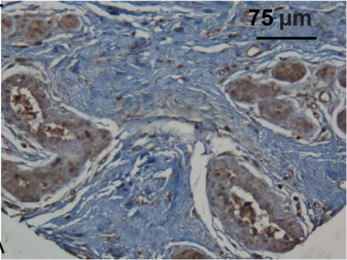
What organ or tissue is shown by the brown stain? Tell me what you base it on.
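Epithelial. Brown staining is concentrated in compact clusters of cells arranged around lumens. The brown-stained clusters form duct-like and lobule-like profiles set apart from the surrounding fibrous tissue.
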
